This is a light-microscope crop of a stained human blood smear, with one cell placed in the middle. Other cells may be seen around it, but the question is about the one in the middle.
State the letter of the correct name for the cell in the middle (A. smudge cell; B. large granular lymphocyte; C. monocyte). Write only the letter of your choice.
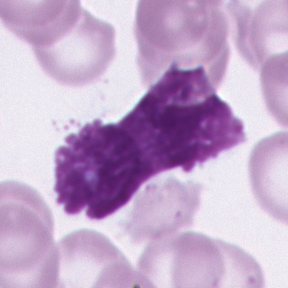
A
